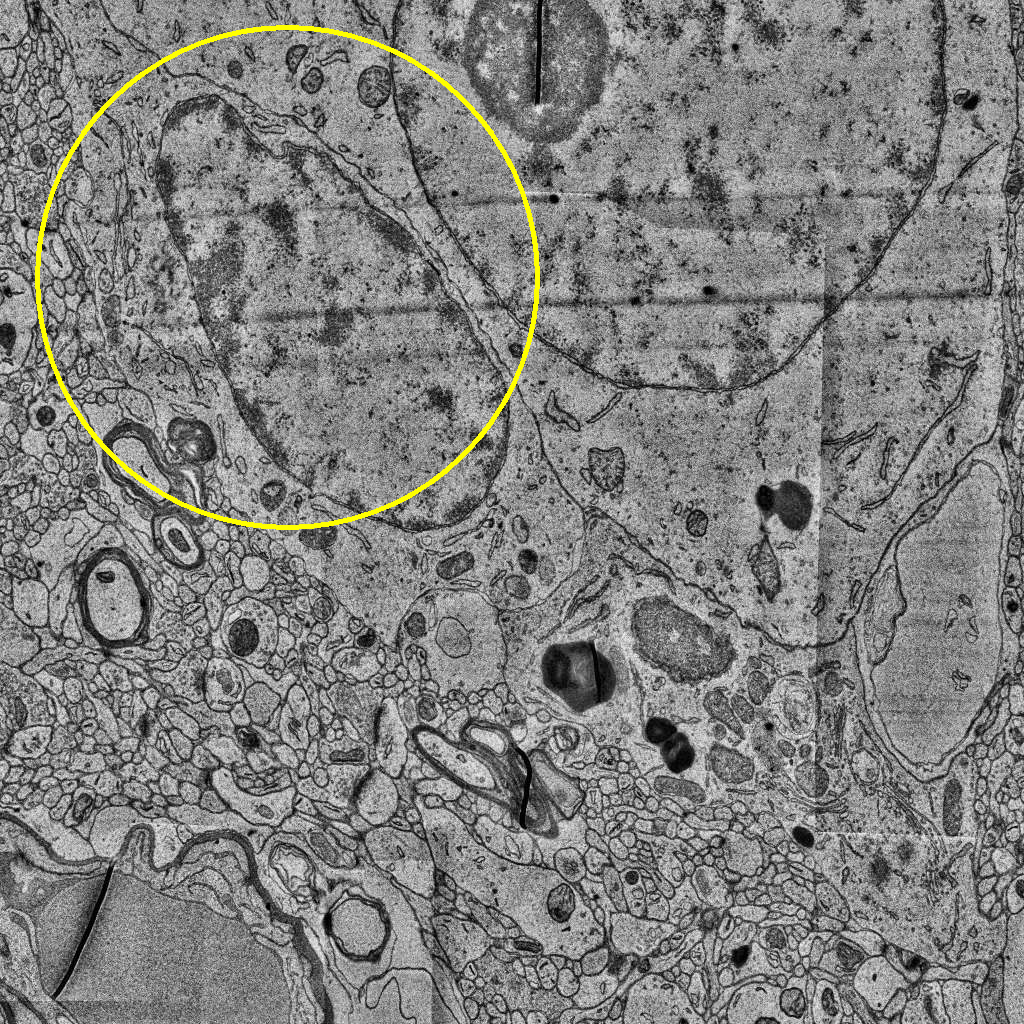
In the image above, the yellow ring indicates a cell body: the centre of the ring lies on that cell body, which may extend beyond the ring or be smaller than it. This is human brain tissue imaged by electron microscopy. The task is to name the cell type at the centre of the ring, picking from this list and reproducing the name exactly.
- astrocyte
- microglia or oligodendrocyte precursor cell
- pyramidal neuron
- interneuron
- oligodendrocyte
microglia or oligodendrocyte precursor cell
